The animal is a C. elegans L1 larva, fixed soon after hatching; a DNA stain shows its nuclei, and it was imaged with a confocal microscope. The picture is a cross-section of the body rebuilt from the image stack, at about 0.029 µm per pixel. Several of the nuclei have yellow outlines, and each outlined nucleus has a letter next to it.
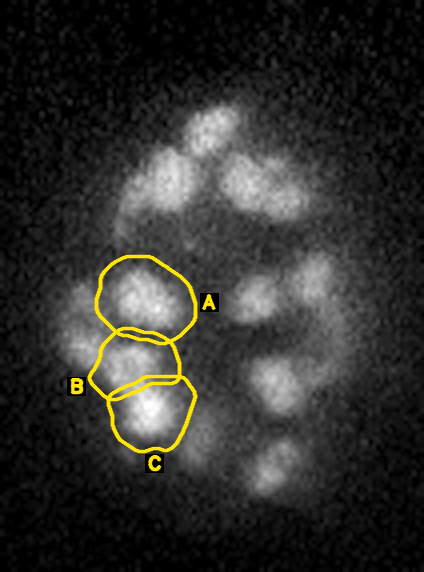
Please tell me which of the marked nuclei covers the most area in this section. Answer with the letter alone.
A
